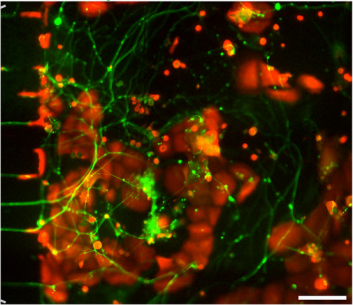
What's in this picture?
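At the left edge, short red and green bars mark the ends of straight channels from which fine green fibres emerge. The green fibres are thin, long and branching, with small swellings along their length, and they criss-cross the field in a loose network. The green fibres run over and between these red clusters, with some bright green clumps among them.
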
